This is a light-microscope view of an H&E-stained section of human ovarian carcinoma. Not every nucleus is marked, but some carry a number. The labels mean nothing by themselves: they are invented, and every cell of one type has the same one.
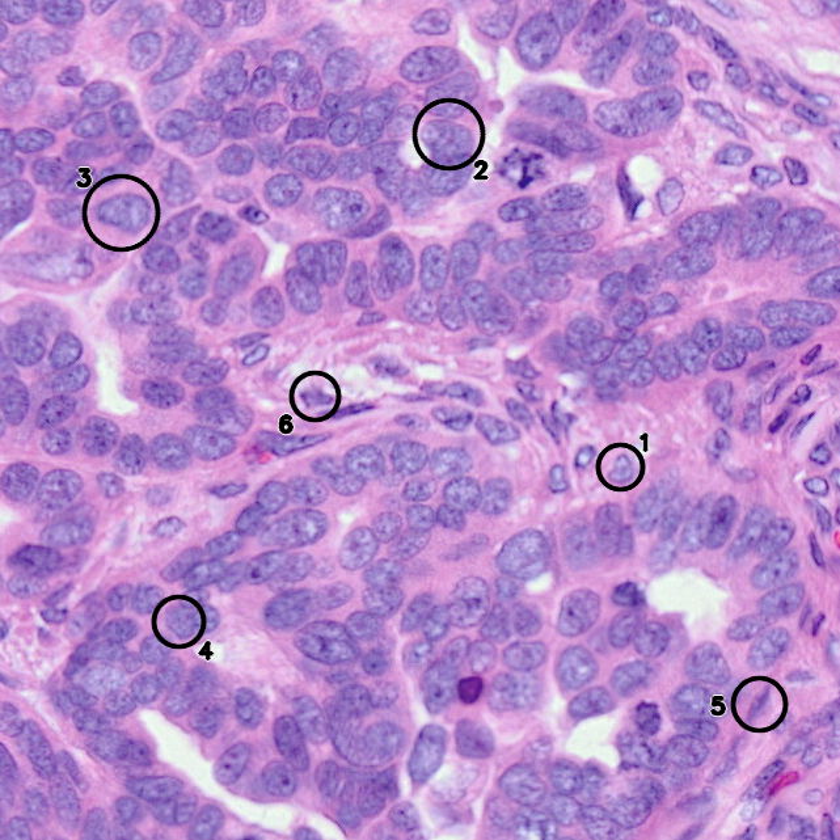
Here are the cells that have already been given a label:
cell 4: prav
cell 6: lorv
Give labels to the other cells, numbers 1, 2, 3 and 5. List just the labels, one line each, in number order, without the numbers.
lorv
prav
prav
lorv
